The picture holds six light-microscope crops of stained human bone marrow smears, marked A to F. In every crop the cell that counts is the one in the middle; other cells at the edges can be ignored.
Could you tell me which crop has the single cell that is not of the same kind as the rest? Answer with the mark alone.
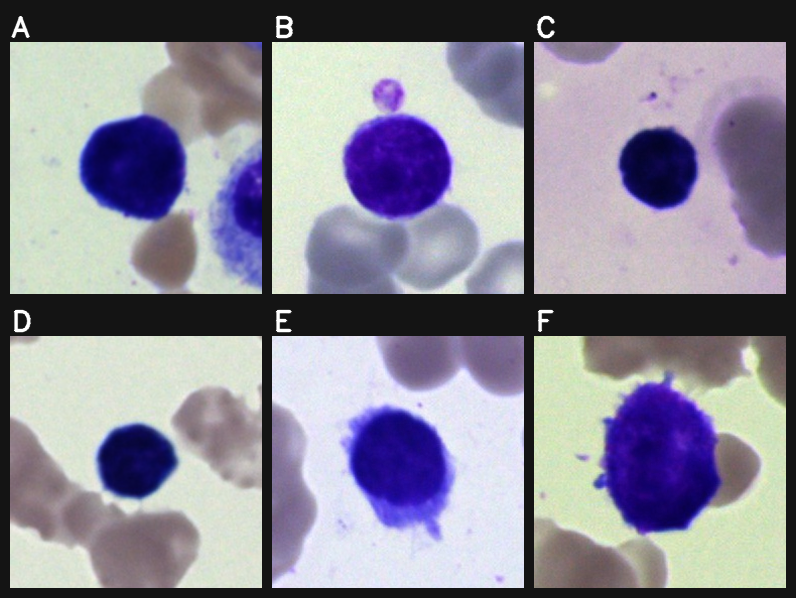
F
